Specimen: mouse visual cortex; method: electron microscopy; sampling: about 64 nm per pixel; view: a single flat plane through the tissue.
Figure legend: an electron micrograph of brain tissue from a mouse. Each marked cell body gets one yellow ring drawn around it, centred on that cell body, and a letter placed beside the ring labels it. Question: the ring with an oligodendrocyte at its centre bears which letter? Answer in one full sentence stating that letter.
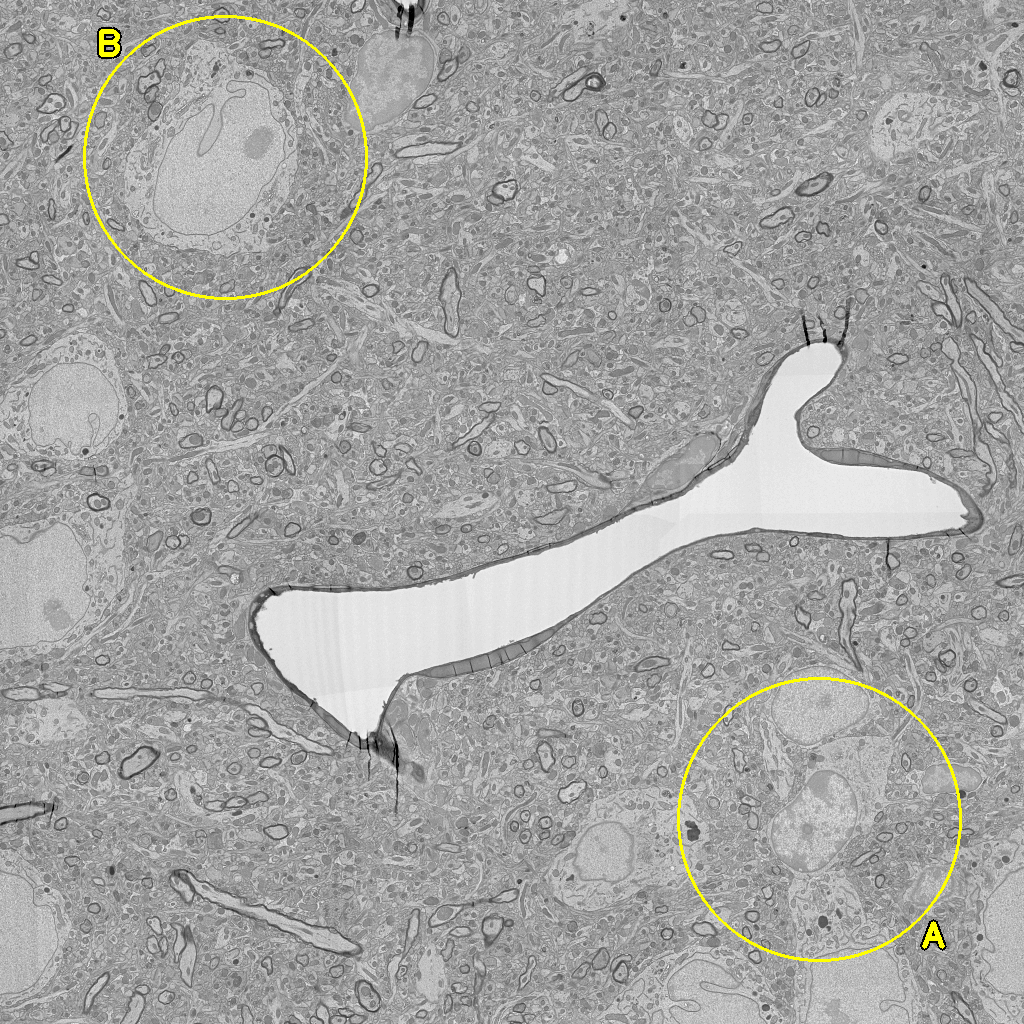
Labelled A is the ring whose centre holds the cell asked for in this picture.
